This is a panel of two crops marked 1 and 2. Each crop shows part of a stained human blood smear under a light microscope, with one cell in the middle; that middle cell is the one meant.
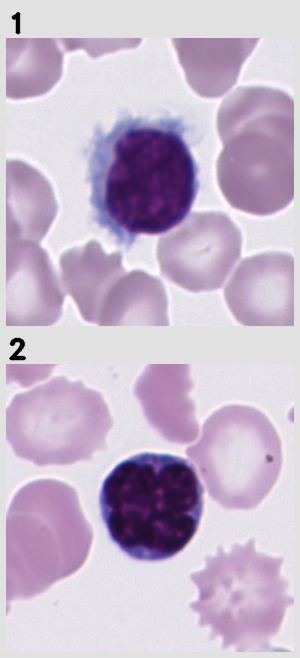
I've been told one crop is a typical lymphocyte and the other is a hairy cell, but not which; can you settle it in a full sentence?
The cell centred in crop 1 is a hairy cell, and the one centred in crop 2 is a typical lymphocyte.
